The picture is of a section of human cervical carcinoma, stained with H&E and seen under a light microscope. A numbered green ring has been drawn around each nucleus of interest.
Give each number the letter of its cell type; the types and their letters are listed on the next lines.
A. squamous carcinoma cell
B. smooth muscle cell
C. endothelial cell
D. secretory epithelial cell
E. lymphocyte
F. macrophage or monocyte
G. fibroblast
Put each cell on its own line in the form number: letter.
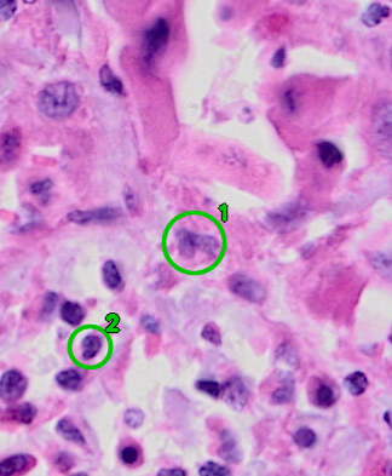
1: F
2: E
